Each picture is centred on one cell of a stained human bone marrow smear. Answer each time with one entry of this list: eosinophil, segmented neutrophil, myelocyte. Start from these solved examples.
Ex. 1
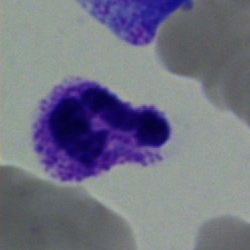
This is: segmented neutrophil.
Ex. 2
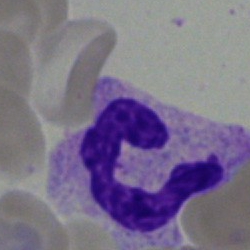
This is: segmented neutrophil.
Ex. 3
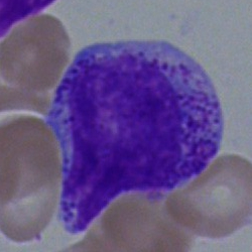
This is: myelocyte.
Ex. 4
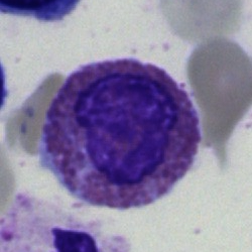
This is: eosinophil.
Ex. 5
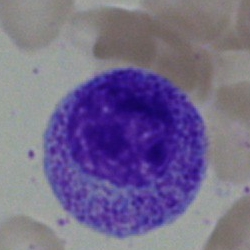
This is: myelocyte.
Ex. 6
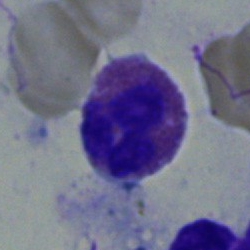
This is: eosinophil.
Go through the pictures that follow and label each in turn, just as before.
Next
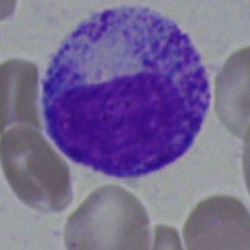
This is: myelocyte.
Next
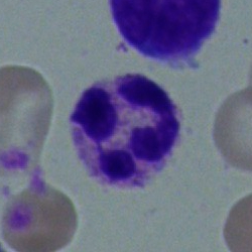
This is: segmented neutrophil.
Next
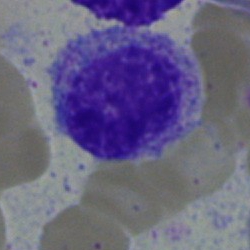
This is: myelocyte.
